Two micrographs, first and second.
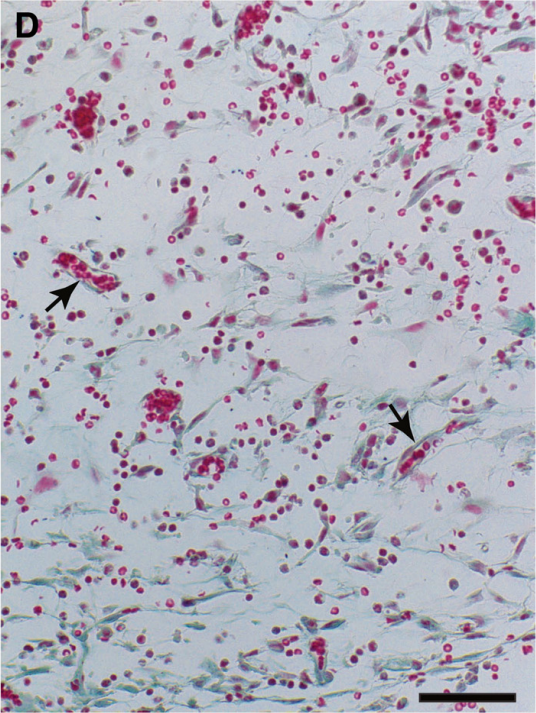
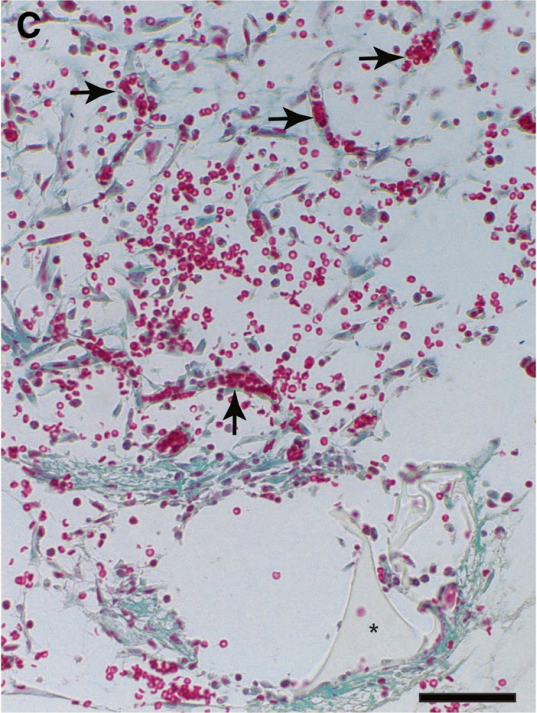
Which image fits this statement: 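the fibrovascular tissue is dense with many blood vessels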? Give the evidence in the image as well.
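The second image. First image: loose, pale tissue with scattered cells and only a few red-filled vessels. Second image: crowded tissue with many red-filled vessels and bands of blue-green fibres.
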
